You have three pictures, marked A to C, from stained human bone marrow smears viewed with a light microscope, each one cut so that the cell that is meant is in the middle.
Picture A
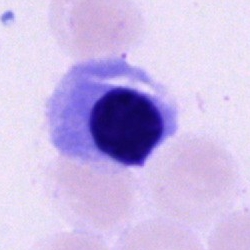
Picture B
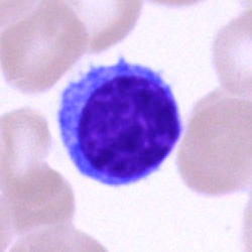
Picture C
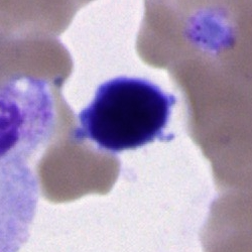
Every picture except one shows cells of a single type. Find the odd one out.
A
